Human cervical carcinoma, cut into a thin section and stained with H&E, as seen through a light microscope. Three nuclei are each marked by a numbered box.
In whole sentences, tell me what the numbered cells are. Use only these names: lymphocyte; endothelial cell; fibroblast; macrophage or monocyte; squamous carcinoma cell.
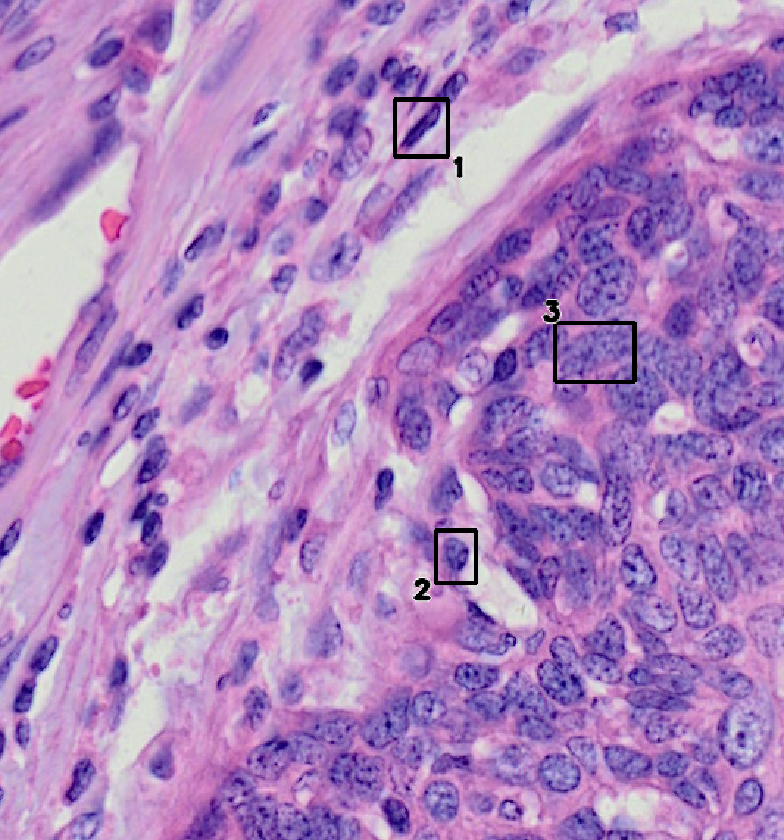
Cells 1 and 2 are lymphocytes. Cell 3 is a squamous carcinoma cell.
